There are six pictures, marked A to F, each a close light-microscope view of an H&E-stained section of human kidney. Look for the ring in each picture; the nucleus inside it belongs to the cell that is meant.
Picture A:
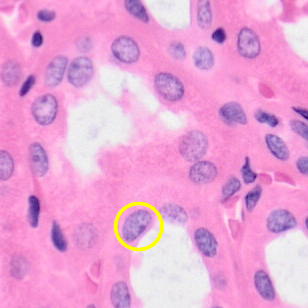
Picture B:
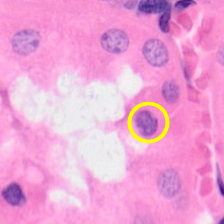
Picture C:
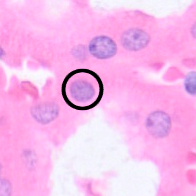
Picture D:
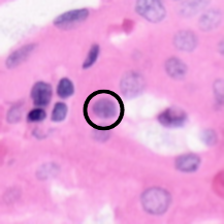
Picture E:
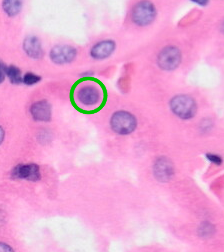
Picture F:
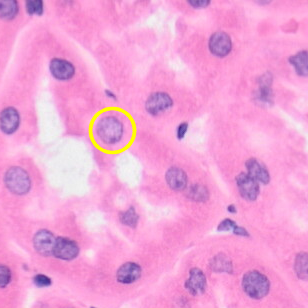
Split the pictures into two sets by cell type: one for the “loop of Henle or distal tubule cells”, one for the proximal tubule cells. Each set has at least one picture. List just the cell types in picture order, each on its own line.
loop of Henle or distal tubule cell
proximal tubule cell
proximal tubule cell
loop of Henle or distal tubule cell
proximal tubule cell
proximal tubule cell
